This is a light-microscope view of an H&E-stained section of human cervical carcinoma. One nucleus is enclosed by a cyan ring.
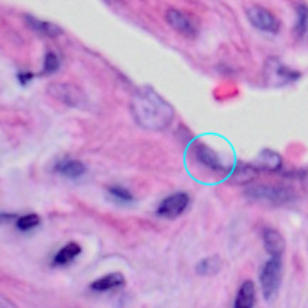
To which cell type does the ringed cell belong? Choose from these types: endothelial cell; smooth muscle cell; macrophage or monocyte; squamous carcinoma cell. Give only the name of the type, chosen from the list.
endothelial cell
